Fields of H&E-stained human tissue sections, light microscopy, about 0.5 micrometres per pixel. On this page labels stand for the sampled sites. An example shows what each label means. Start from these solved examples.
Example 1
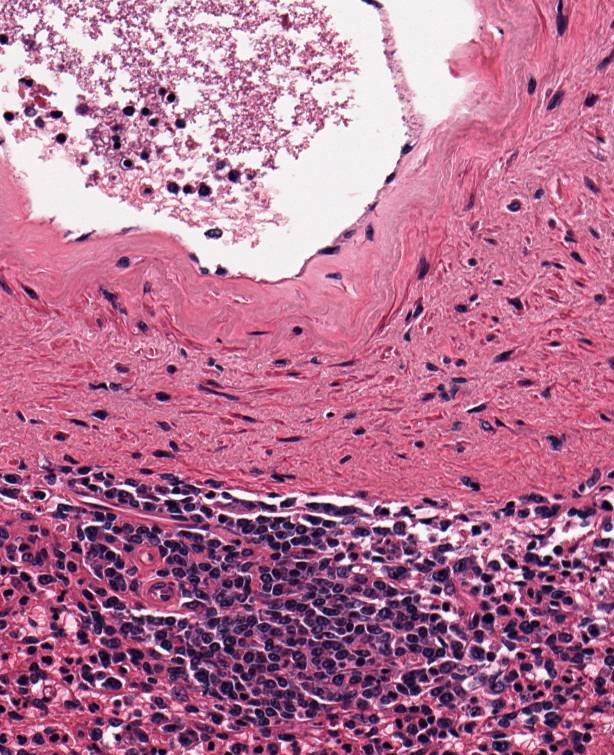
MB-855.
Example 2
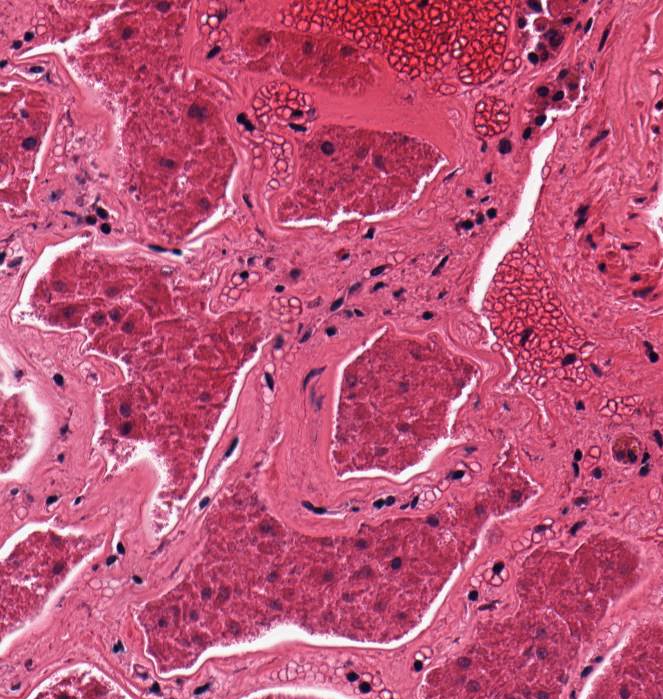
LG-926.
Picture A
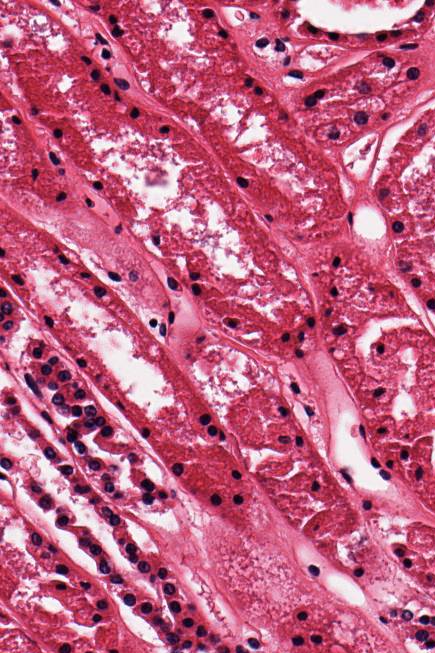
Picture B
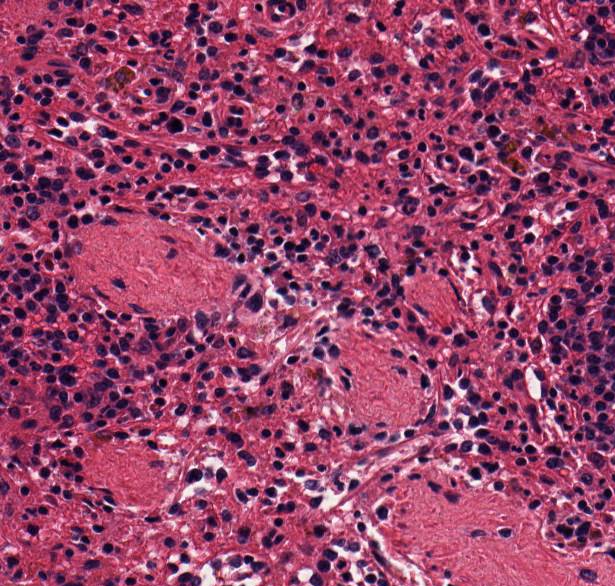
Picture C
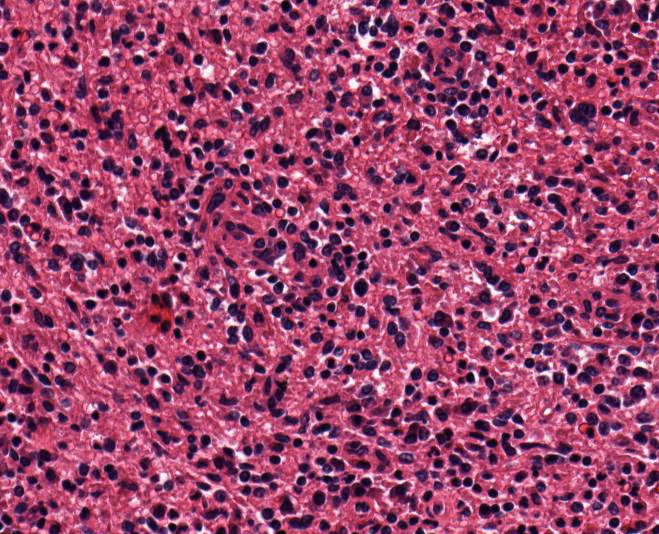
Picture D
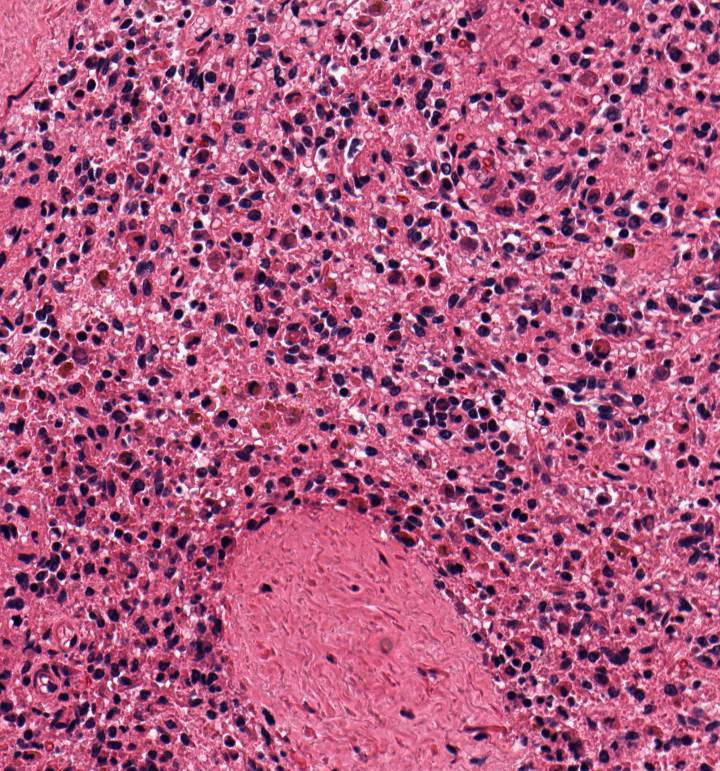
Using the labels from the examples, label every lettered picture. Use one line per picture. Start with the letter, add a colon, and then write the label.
A: LG-926.
B: MB-855.
C: MB-855.
D: MB-855.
